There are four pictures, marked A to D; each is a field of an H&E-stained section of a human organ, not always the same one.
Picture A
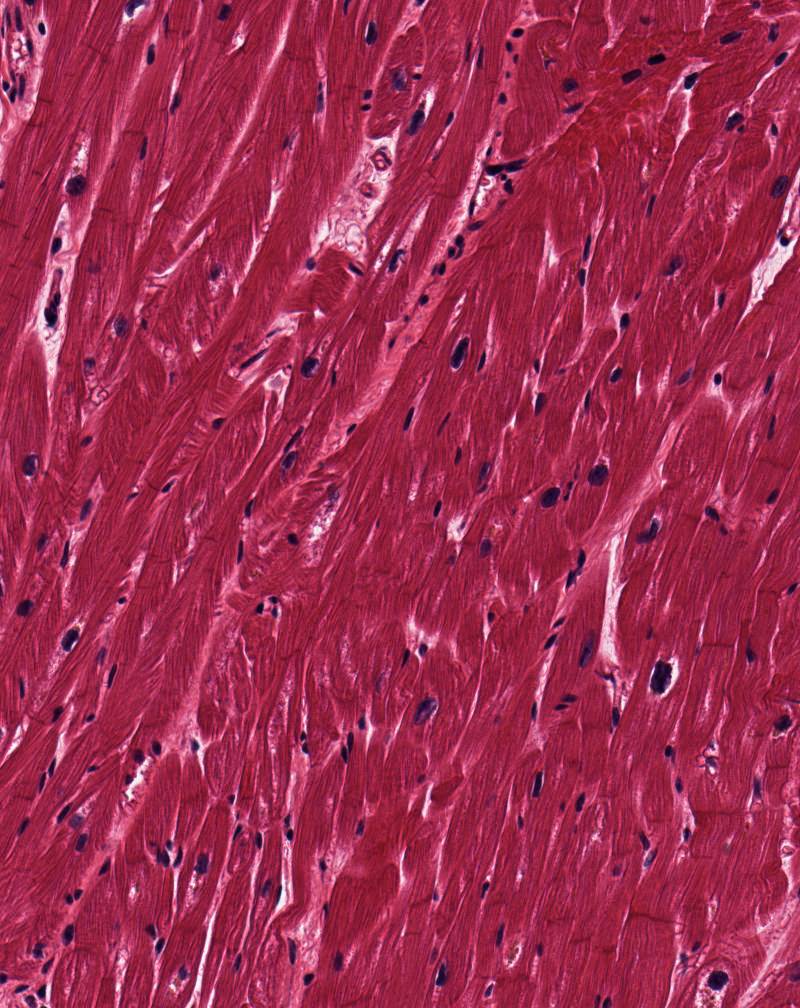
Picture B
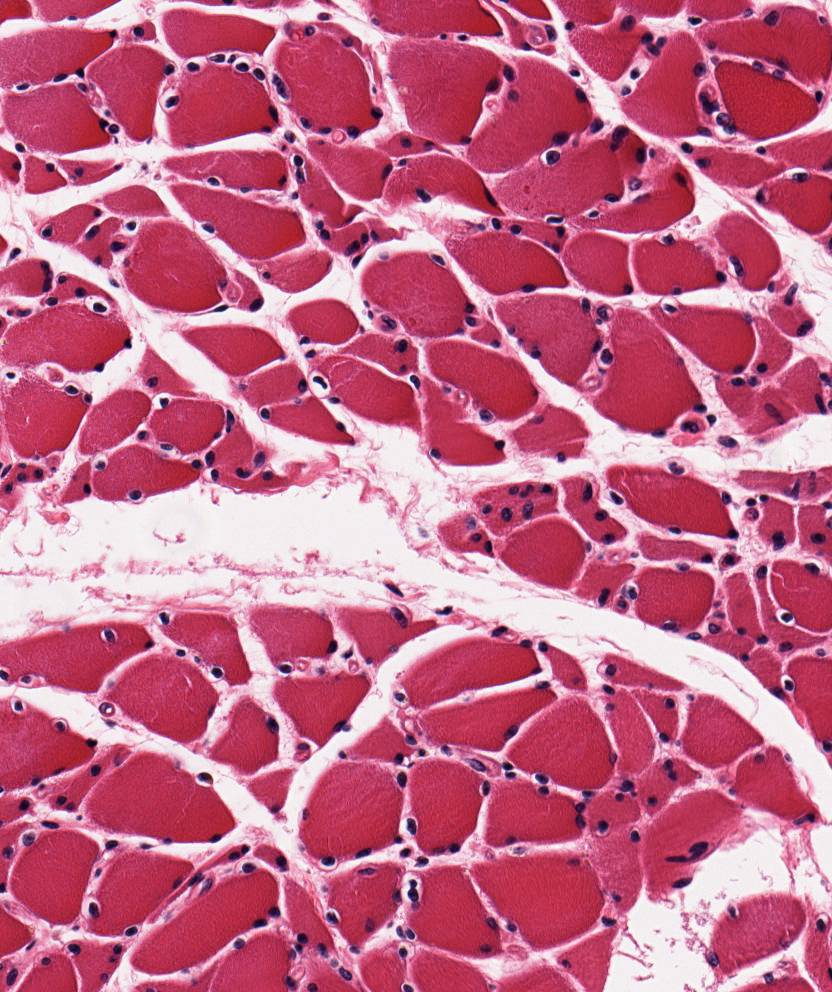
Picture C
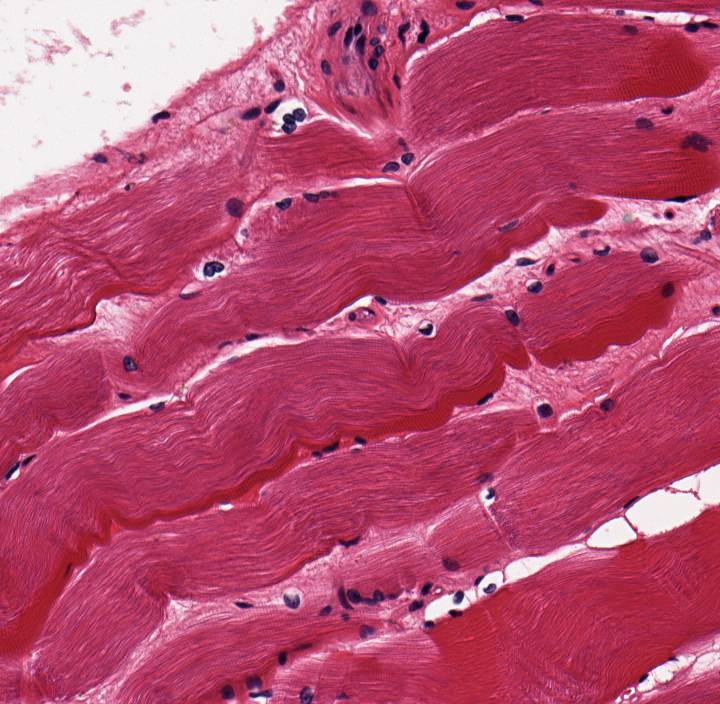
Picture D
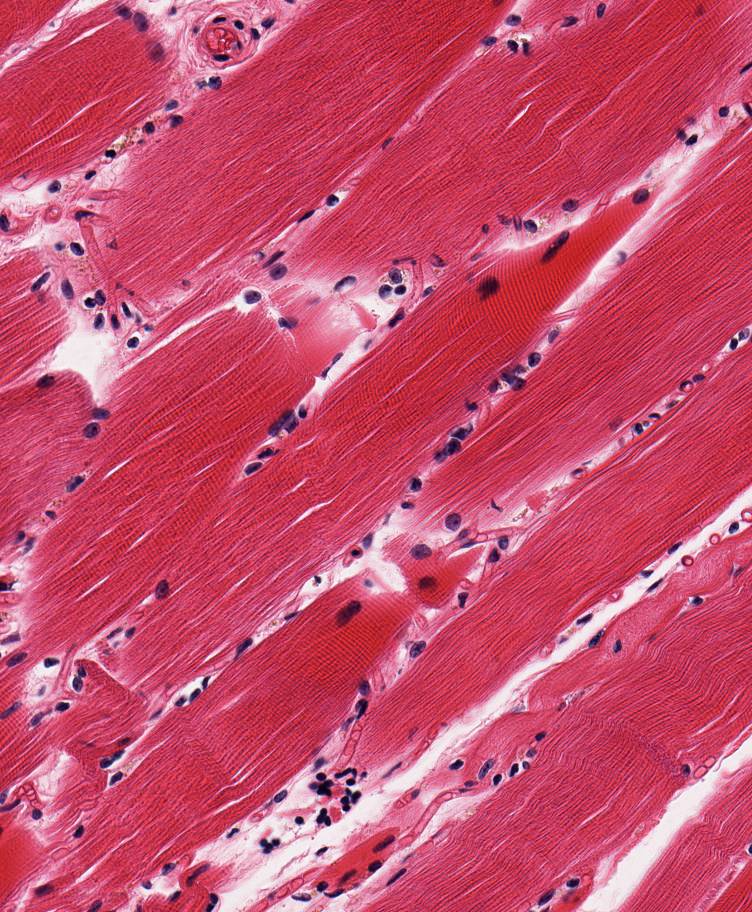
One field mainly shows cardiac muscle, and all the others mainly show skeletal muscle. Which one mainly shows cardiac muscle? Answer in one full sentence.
It is picture A that mainly shows cardiac muscle.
